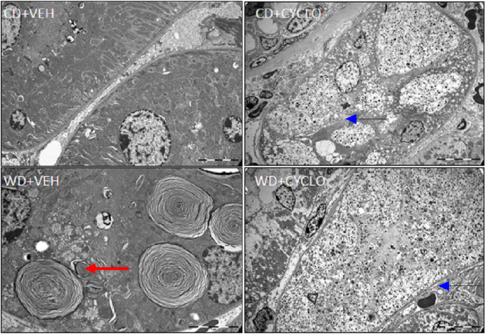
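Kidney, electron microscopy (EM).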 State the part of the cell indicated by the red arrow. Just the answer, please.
Lysosomes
